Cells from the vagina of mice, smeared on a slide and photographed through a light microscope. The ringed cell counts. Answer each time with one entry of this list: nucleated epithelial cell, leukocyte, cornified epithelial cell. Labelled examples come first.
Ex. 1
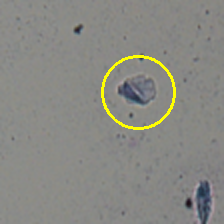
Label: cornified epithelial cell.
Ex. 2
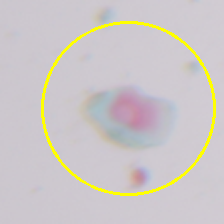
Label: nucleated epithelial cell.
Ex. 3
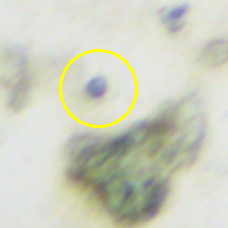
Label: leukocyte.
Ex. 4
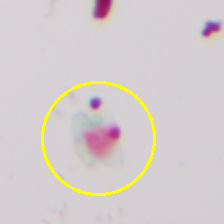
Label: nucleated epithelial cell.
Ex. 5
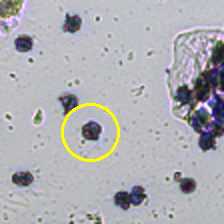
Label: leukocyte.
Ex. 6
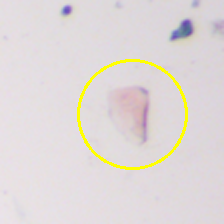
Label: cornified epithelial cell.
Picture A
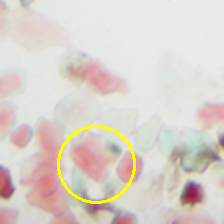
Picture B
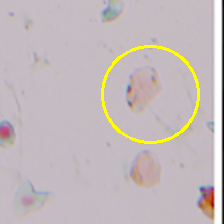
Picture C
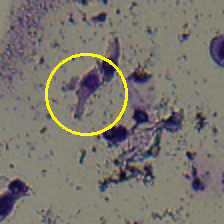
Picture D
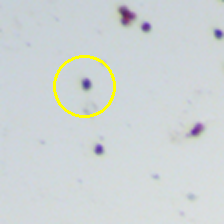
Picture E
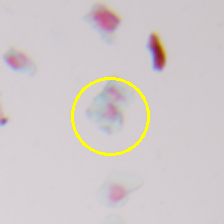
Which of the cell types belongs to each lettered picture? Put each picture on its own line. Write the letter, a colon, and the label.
A: cornified epithelial cell.
B: cornified epithelial cell.
C: nucleated epithelial cell.
D: leukocyte.
E: nucleated epithelial cell.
